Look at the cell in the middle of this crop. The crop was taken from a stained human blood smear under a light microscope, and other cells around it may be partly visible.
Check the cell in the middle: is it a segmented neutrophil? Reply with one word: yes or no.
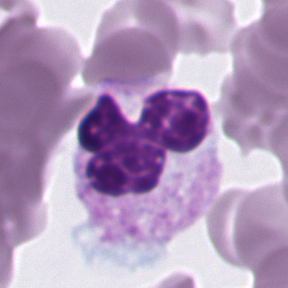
yes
